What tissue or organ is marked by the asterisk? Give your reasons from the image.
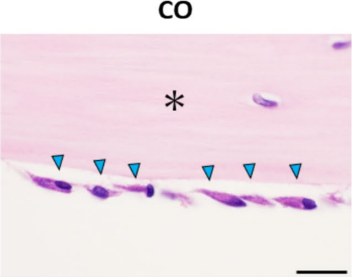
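Broad homogeneous pink eosinophilic area. Few isolated cells sit in small lacunae within it. The answer: Bone matrix.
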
